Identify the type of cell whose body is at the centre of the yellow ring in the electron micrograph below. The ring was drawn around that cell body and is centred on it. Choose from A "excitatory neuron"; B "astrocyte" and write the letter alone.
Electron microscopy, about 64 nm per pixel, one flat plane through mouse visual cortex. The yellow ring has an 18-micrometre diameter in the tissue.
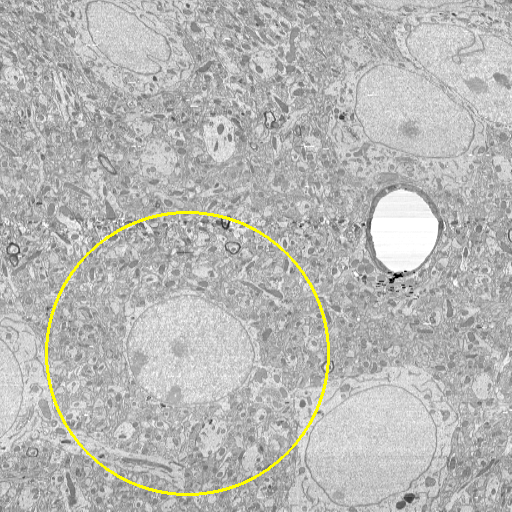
B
